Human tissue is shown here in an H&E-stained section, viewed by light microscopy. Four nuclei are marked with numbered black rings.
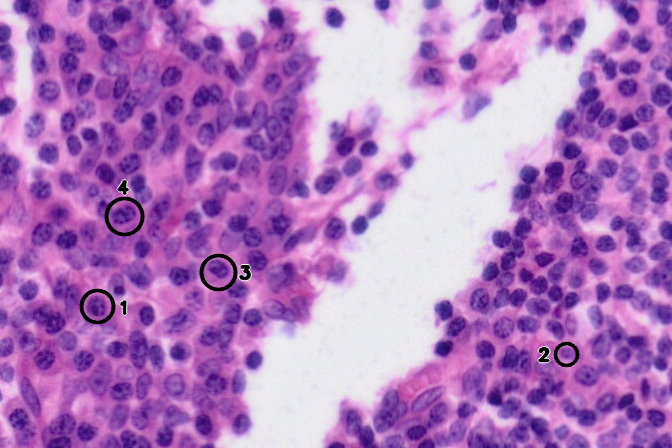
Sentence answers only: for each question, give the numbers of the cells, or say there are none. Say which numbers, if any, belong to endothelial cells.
Of all the numbered cells, only cell 2 is an endothelial cell.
